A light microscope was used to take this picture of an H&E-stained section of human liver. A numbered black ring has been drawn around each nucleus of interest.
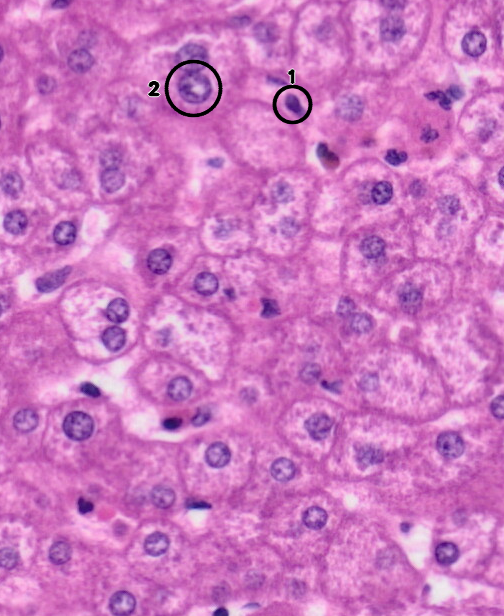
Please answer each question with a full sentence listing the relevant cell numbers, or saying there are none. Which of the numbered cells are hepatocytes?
Of the cells marked with numbers, cell 2 is the only one that is a hepatocyte.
